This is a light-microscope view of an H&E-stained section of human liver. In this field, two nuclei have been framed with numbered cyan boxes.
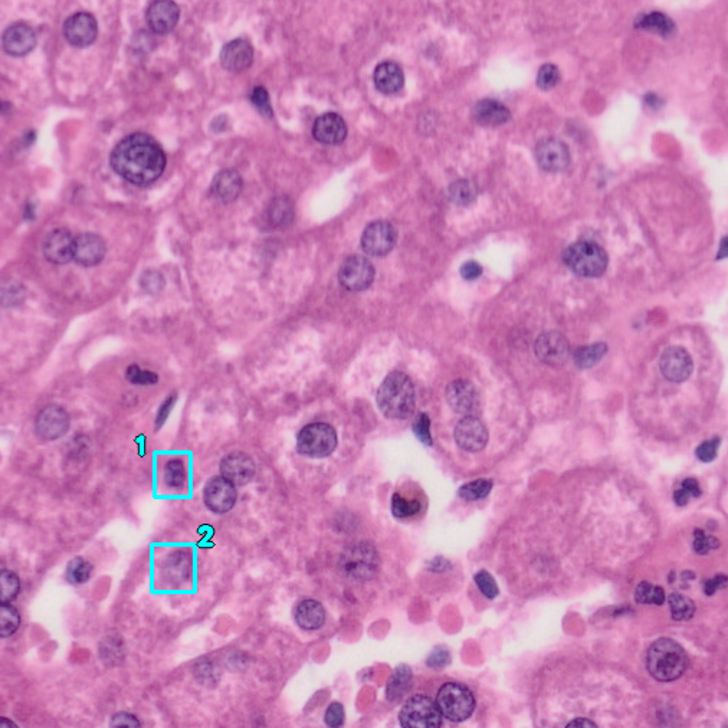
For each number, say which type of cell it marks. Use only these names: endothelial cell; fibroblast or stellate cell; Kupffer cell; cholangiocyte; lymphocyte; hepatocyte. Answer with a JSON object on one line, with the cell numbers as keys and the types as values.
{"1": "fibroblast or stellate cell", "2": "hepatocyte"}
